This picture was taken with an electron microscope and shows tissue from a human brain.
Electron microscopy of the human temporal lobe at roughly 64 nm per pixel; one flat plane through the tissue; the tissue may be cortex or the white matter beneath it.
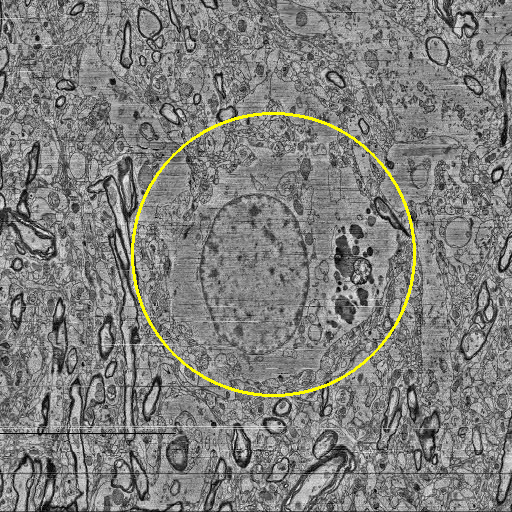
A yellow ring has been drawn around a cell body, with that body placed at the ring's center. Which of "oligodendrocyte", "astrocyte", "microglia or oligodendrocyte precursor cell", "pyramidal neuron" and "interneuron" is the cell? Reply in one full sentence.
In this picture, an astrocyte is the cell at the center of the yellow ring.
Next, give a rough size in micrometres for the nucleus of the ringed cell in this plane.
In this plane the nucleus is clearly longer than it is wide: roughly 11 by 6 micrometres.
